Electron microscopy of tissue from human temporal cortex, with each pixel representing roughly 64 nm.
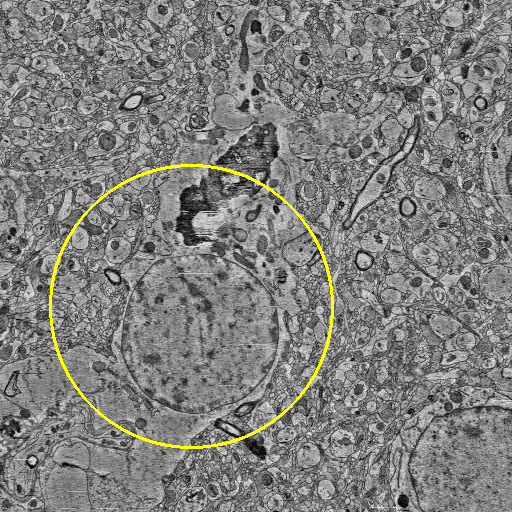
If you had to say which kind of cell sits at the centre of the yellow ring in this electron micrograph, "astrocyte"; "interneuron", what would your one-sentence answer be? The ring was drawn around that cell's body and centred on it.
The cell sitting at the centre of the ring is an astrocyte.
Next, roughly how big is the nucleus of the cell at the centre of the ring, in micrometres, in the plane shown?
The ringed cell's nucleus is about 11 micrometres across in this plane.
